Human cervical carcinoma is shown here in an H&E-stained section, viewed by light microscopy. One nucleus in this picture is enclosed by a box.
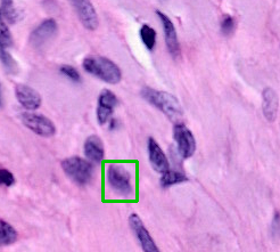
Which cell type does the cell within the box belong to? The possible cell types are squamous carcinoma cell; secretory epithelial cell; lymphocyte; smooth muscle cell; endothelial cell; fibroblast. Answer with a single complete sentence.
By its classification, the cell within the box is a fibroblast.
